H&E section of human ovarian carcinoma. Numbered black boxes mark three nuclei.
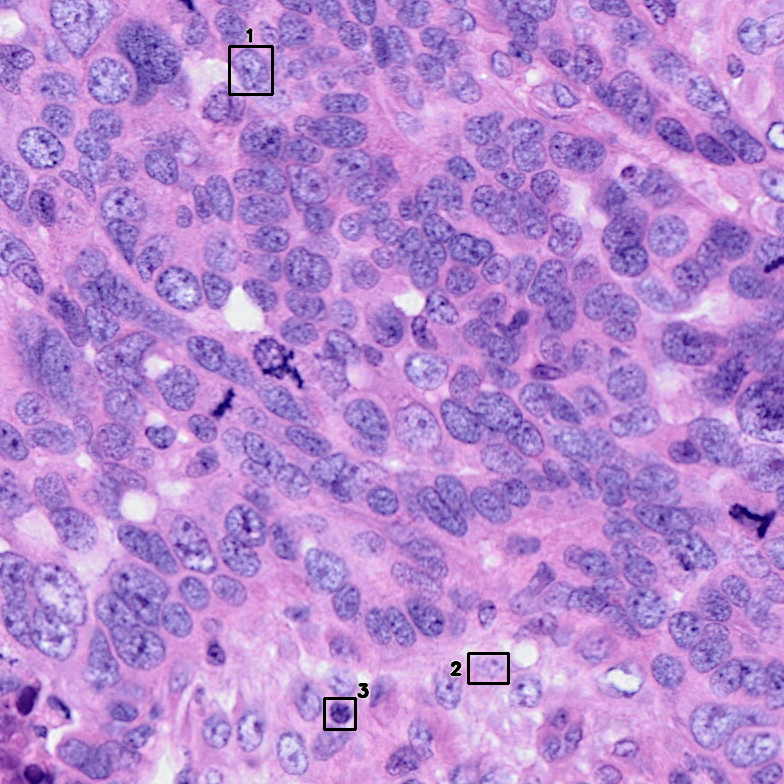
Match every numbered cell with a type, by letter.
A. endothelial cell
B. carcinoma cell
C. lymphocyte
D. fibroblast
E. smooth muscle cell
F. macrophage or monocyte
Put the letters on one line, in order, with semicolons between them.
B; D; C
